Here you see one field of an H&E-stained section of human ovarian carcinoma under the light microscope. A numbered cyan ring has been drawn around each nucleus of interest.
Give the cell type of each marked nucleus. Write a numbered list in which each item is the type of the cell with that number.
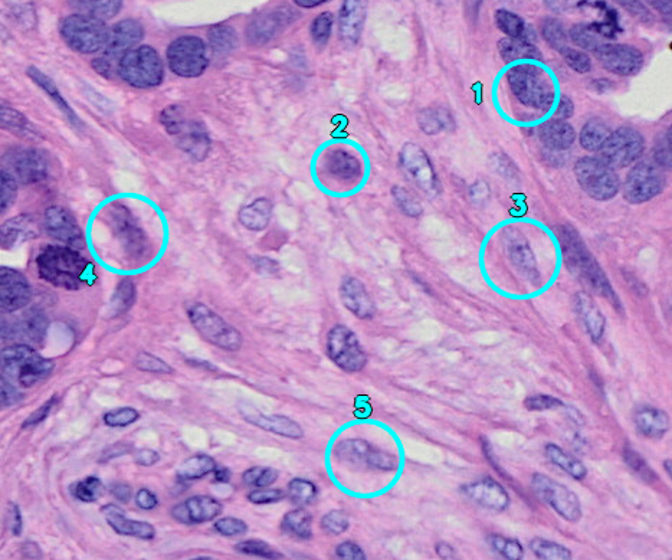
1. carcinoma cell
2. macrophage or monocyte
3. fibroblast
4. fibroblast
5. fibroblast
